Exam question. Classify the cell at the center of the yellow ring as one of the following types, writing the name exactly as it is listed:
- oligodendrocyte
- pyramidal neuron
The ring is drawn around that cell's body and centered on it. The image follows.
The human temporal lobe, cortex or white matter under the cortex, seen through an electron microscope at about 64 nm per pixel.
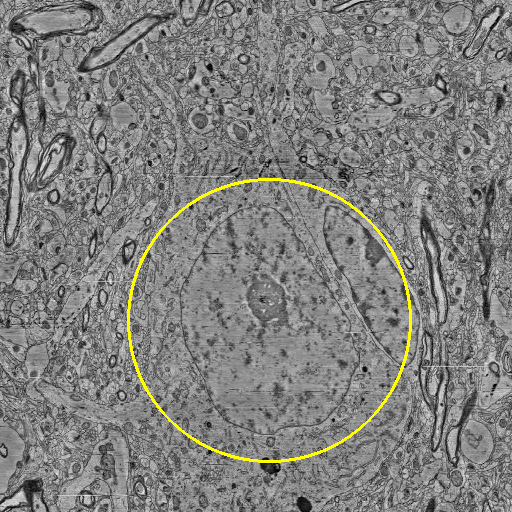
pyramidal neuron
